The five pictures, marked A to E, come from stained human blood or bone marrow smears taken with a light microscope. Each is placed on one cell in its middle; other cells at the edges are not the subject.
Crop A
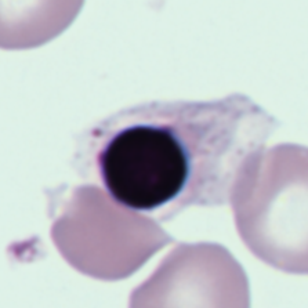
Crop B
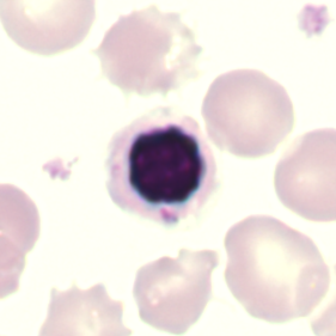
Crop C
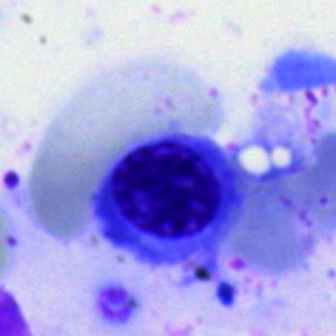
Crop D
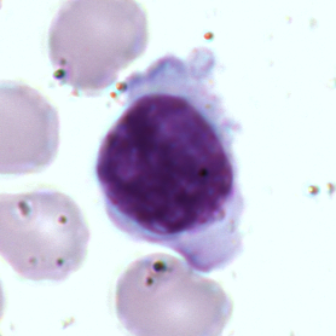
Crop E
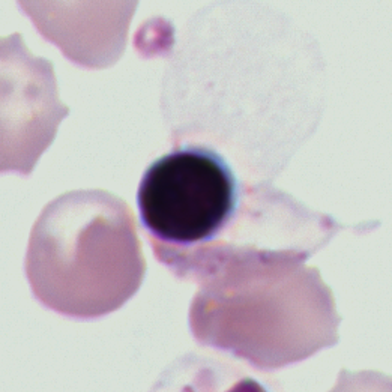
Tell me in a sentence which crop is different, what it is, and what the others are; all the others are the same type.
Crop D alone is a plasma cell, and the other crops are all erythroblasts.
